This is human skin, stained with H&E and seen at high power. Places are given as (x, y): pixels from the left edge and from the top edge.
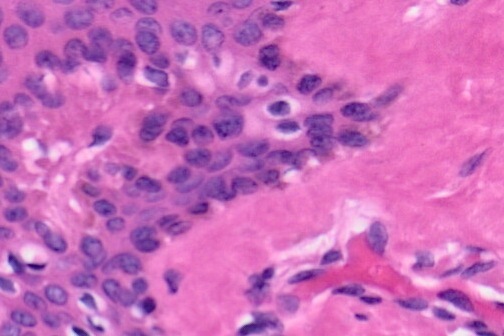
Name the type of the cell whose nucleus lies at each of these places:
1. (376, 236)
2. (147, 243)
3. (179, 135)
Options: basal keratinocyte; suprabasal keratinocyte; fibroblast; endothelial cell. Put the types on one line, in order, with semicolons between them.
endothelial cell; basal keratinocyte; basal keratinocyte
